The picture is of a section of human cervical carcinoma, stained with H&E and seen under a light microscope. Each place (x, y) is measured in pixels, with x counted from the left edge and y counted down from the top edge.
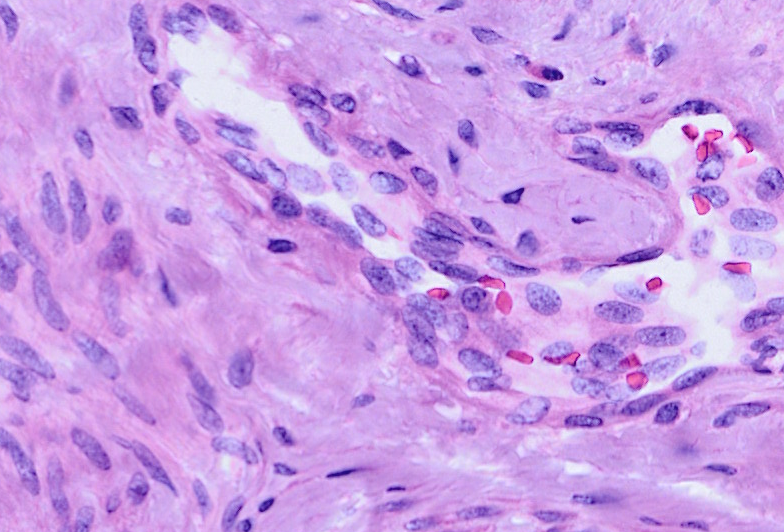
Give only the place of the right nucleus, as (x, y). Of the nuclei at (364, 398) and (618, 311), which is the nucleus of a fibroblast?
(364, 398)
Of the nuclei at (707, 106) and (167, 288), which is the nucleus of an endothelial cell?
(707, 106)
